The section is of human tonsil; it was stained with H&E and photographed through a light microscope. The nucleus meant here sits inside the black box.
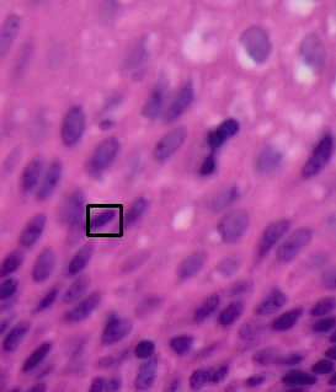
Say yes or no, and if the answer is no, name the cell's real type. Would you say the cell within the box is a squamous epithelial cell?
Yes.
